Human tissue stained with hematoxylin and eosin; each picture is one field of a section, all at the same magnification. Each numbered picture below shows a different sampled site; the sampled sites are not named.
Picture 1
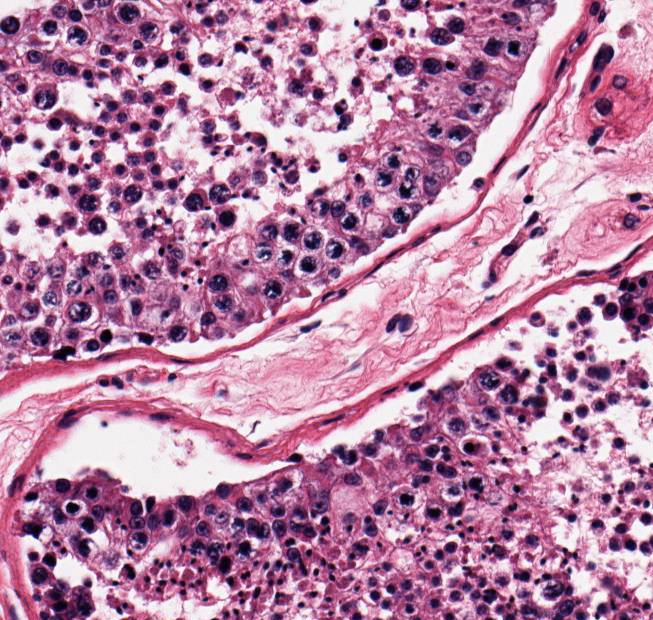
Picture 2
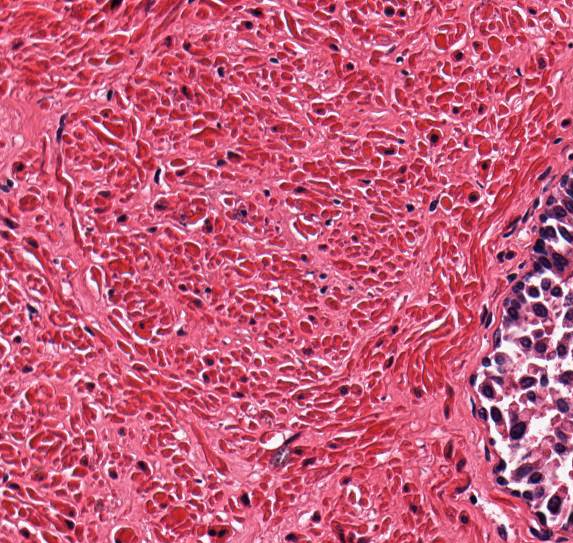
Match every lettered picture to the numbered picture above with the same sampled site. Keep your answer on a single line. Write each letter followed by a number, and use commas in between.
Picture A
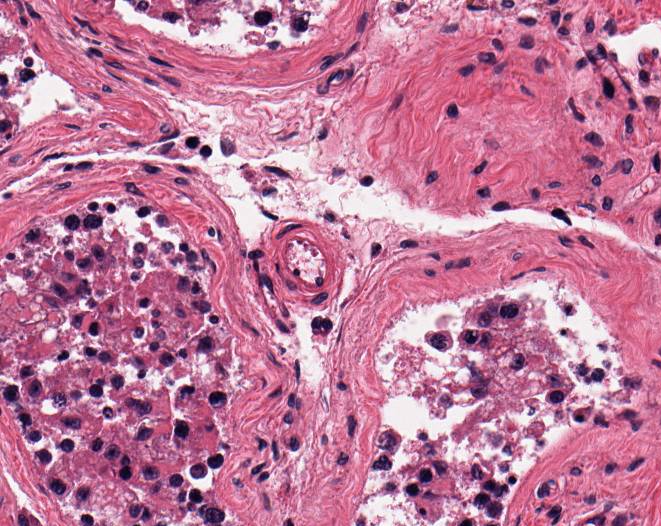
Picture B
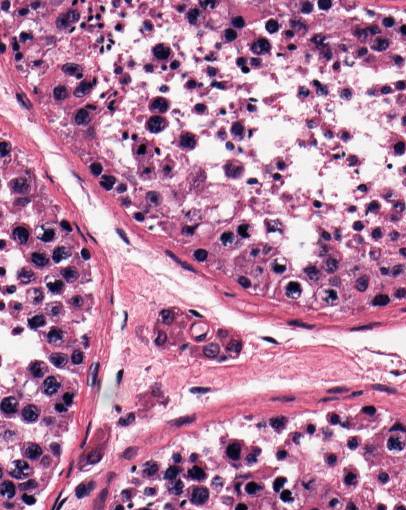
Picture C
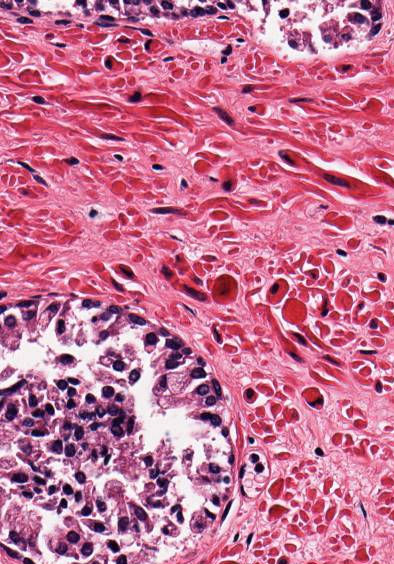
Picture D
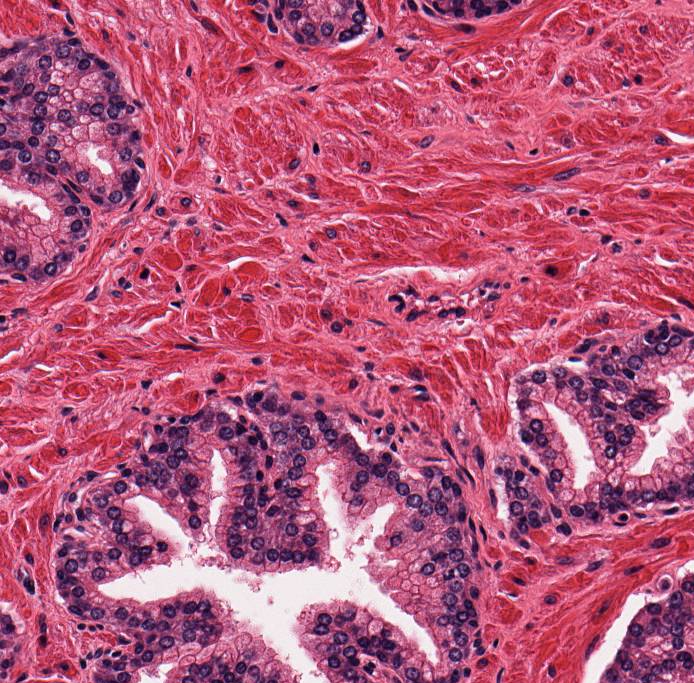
A 1, B 1, C 2, D 2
